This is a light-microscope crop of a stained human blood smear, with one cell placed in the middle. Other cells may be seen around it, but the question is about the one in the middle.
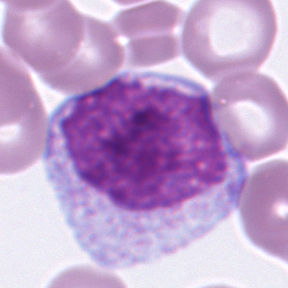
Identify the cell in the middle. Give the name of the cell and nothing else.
promyelocyte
